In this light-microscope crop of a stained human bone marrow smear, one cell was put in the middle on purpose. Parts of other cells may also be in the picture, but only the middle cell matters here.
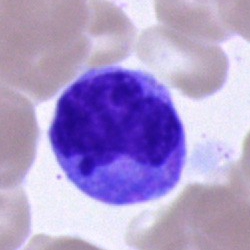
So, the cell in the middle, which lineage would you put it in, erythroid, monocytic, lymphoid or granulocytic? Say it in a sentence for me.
The lineage of the cell at the center of the crop is monocytic.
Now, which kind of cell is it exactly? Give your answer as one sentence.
The centrally placed cell is classified as a monocyte.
